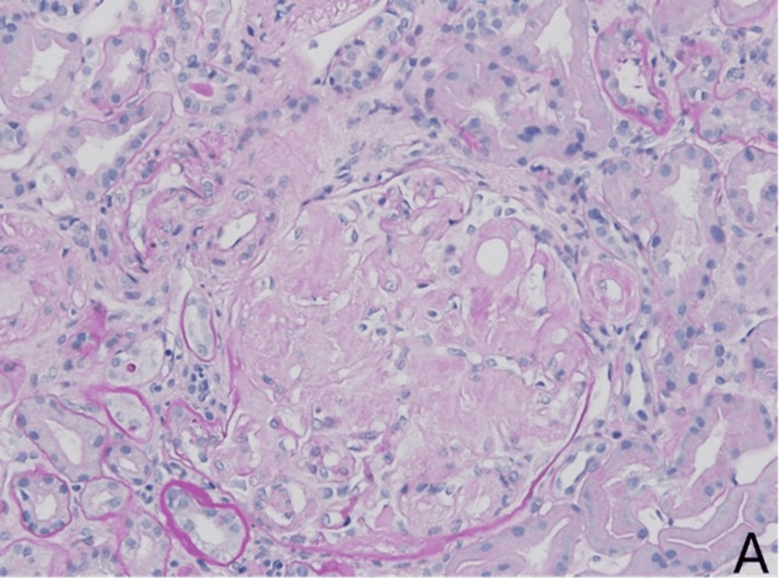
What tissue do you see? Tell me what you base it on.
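A round tuft enclosed by a thin magenta capsule sits in the centre. Tubules with magenta basement membranes surround it. On this evidence: Glomeruli.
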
